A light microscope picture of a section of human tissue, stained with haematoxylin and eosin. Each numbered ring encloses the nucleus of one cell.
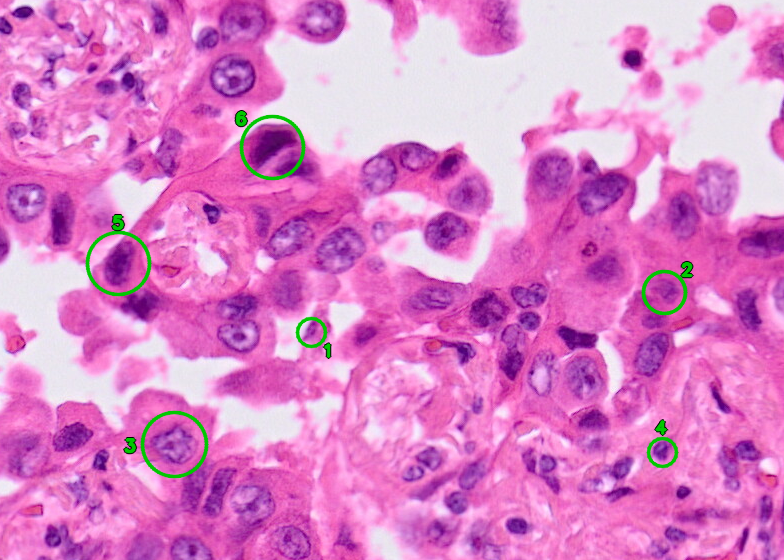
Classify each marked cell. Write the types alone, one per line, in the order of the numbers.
macrophage or monocyte
carcinoma cell
carcinoma cell
lymphocyte
carcinoma cell
carcinoma cell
